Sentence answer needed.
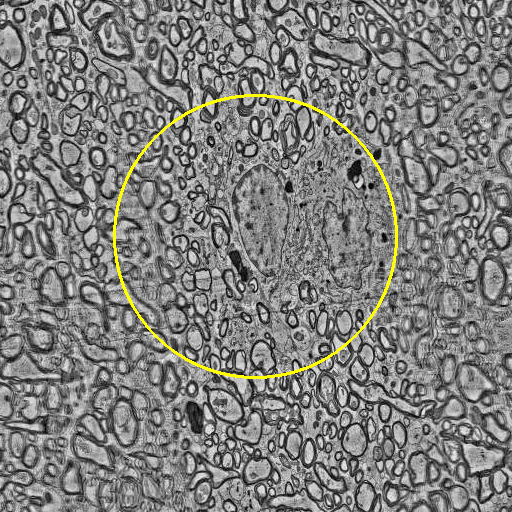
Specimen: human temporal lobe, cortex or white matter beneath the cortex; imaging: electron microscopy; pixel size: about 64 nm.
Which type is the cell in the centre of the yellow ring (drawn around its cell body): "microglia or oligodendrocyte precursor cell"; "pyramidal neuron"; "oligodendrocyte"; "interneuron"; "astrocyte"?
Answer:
In the centre of the yellow ring is a microglial cell or oligodendrocyte precursor cell.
